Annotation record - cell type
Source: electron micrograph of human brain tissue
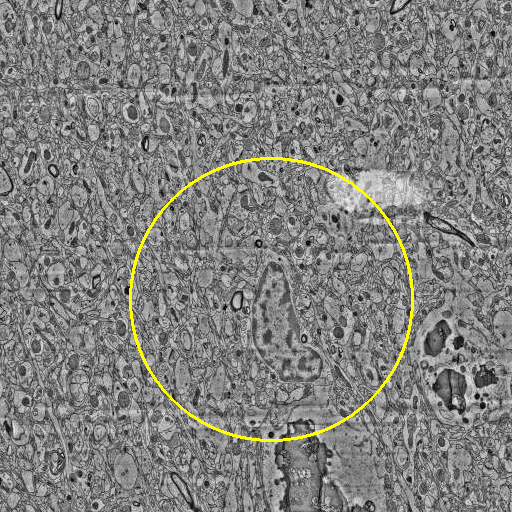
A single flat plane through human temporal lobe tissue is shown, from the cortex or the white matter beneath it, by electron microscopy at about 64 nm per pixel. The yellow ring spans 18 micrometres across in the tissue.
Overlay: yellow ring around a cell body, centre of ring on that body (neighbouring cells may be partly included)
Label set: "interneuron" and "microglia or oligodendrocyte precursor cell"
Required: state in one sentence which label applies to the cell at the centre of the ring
This cell should be labelled as a microglial cell or oligodendrocyte precursor cell.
